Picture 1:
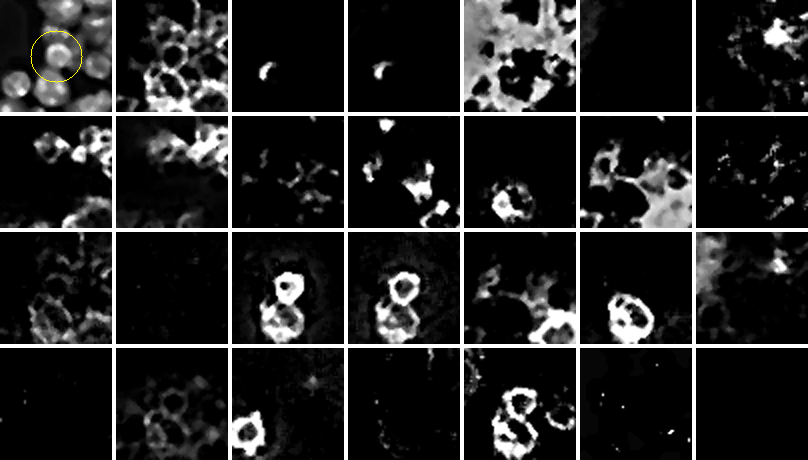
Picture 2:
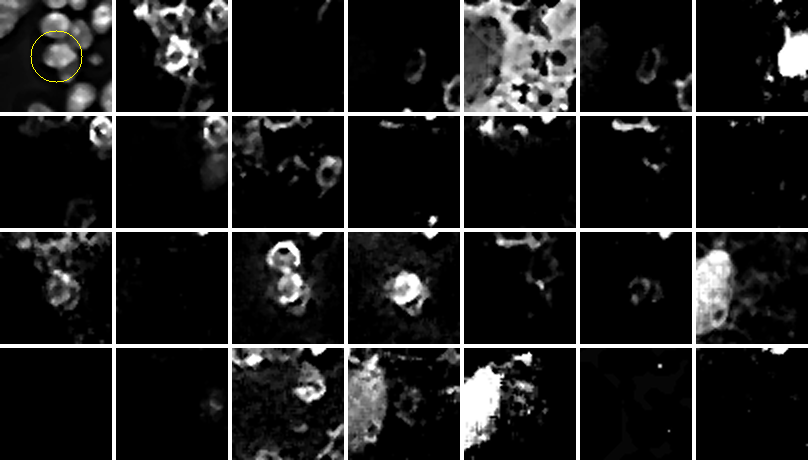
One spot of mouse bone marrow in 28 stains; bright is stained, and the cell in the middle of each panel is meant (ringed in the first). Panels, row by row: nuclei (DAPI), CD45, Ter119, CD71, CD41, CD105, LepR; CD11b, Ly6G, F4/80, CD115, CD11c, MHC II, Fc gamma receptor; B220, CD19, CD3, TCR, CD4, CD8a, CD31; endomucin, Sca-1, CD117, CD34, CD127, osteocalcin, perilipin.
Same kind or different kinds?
Same: double-negative T cells.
